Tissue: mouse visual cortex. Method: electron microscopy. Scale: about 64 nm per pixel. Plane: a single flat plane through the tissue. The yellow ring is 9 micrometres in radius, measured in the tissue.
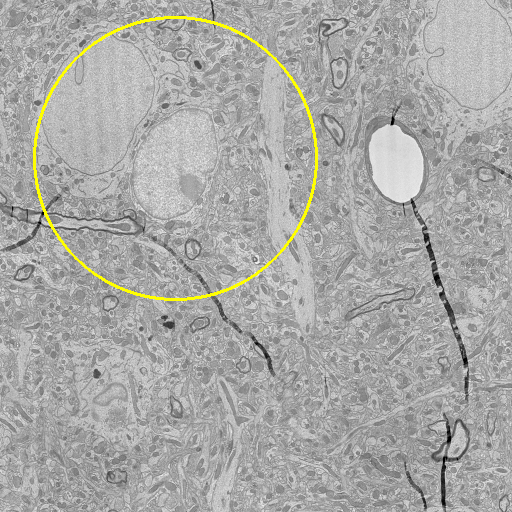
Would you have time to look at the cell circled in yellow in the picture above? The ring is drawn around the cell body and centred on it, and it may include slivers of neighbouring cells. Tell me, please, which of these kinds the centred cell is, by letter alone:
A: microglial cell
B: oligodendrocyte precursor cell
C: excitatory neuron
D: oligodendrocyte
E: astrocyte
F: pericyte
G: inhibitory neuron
E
